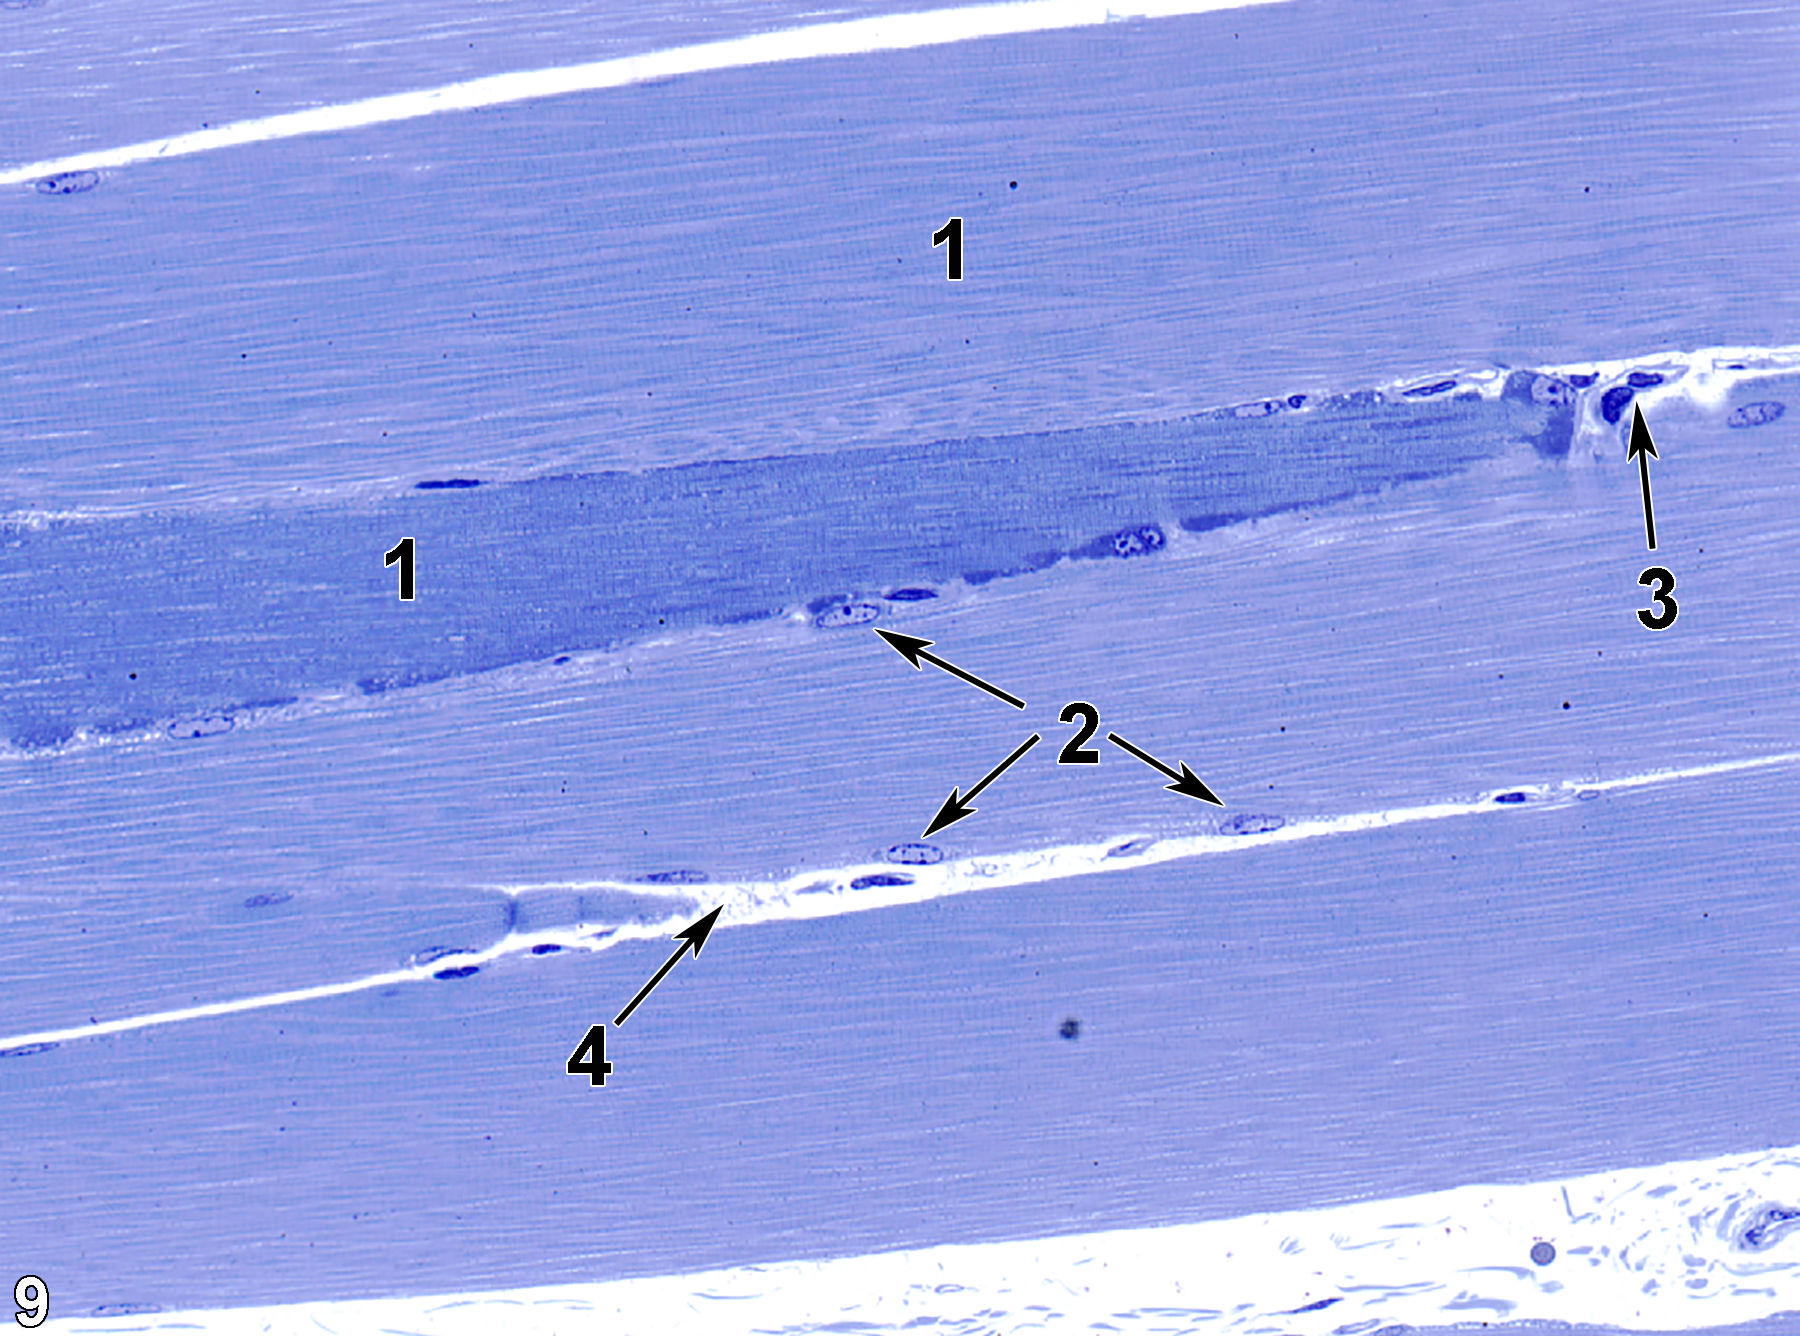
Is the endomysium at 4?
Yes, 4 marks the endomysium.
